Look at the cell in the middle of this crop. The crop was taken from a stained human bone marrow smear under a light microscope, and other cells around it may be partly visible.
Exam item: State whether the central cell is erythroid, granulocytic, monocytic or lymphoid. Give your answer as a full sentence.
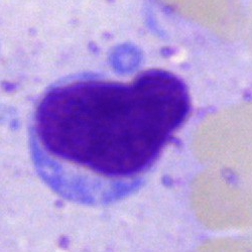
The lineage represented by the cell in the middle is lymphoid.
